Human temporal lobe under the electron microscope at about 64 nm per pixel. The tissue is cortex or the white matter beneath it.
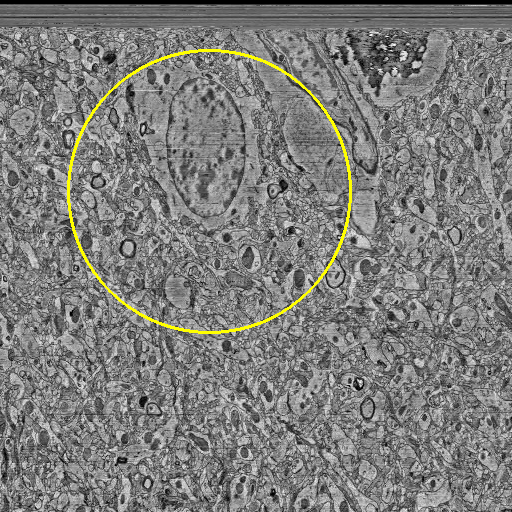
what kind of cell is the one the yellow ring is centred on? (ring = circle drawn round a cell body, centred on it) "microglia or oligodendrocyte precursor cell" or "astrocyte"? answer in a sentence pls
The ring is drawn around an astrocyte.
